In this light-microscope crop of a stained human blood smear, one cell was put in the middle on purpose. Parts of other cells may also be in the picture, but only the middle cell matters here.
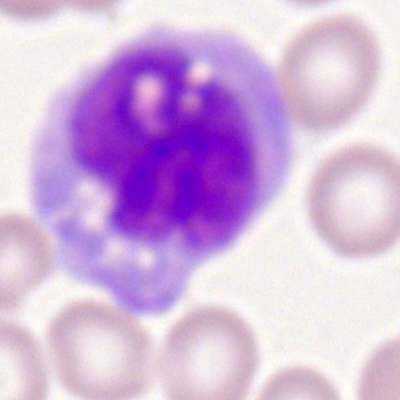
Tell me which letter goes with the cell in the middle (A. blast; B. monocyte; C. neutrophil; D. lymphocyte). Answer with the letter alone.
B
